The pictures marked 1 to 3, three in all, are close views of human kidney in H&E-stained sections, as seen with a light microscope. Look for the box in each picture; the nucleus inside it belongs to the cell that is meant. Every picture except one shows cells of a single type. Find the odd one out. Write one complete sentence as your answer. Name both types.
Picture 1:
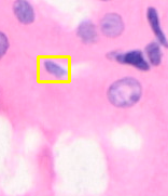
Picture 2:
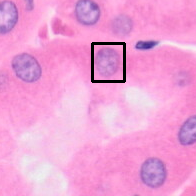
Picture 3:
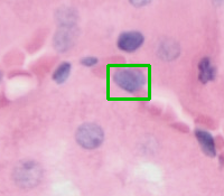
Unlike the rest, which show endothelial cells, picture 2 shows a proximal tubule cell.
